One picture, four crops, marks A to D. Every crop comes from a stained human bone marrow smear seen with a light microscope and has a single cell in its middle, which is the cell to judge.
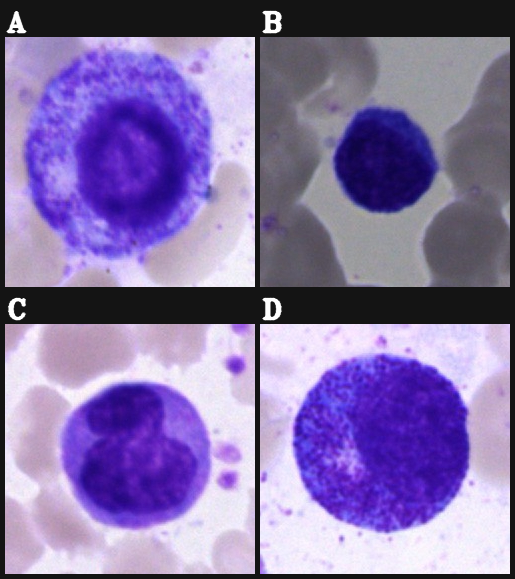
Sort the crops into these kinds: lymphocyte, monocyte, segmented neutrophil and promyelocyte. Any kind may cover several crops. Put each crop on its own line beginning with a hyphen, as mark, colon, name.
- A: promyelocyte
- B: lymphocyte
- C: monocyte
- D: promyelocyte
